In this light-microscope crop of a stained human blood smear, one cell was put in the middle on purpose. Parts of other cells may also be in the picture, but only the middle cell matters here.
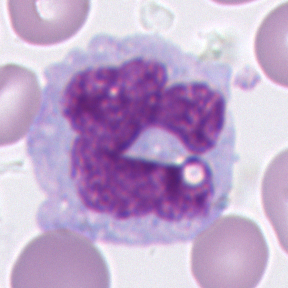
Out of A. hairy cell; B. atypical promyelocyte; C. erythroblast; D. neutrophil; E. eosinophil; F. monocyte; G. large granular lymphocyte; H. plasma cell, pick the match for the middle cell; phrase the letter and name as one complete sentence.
As the central cell is a monocyte, option F is correct.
